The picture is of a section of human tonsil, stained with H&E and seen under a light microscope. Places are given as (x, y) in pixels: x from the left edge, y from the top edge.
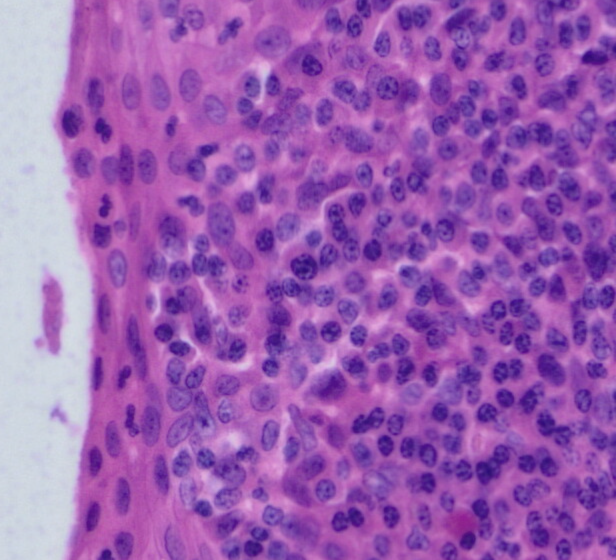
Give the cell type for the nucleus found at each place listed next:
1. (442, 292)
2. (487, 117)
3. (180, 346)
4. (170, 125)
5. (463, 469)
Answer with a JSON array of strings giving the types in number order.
["squamous epithelial cell", "plasma cell", "plasma cell", "squamous epithelial cell", "plasma cell"]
